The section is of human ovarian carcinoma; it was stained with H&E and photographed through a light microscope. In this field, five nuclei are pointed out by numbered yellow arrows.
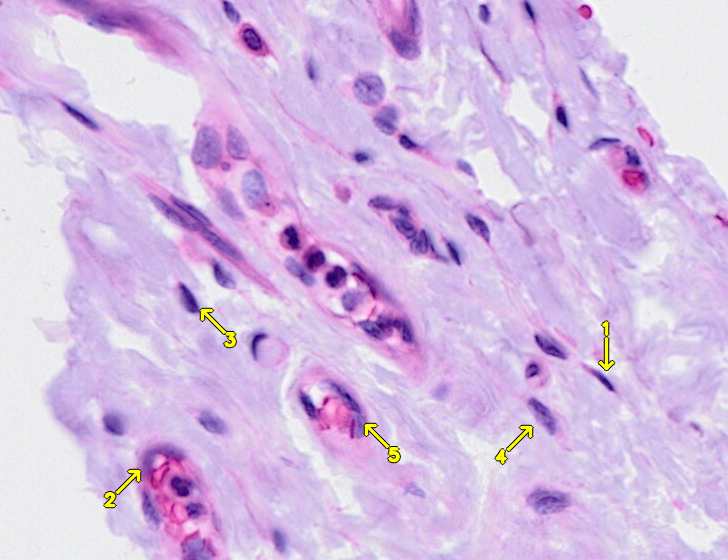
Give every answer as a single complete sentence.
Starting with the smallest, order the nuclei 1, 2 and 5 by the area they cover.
The order from the smallest nucleus to the largest is 1, 2, 5.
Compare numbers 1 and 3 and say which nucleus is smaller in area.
It is nucleus 1; nucleus 3 has about 2.5 times its area.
